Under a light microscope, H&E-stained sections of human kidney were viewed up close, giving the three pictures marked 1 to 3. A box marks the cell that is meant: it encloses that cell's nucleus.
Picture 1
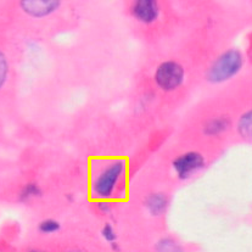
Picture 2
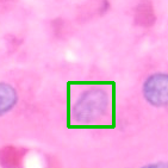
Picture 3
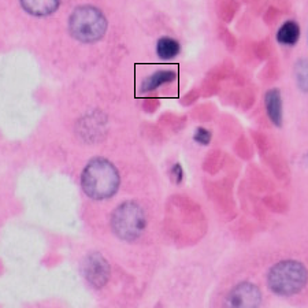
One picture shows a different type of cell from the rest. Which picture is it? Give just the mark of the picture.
2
